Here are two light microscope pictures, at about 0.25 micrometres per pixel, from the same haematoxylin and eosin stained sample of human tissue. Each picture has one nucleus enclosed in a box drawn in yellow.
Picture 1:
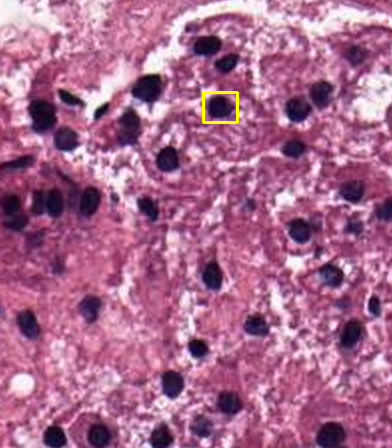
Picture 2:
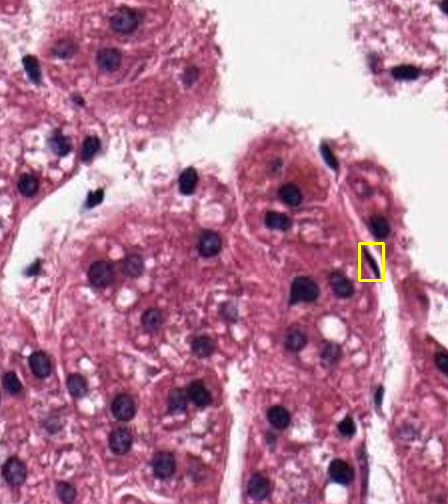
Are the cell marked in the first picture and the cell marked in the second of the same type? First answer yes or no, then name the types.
No, the first is an adrenal cortical cell and the second an endothelial cell.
